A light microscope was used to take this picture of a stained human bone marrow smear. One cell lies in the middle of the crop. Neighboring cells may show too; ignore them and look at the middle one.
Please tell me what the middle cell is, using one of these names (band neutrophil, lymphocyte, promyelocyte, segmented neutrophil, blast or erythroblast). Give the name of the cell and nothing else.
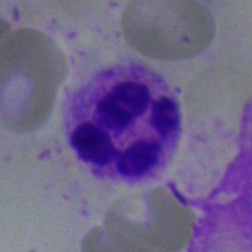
segmented neutrophil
